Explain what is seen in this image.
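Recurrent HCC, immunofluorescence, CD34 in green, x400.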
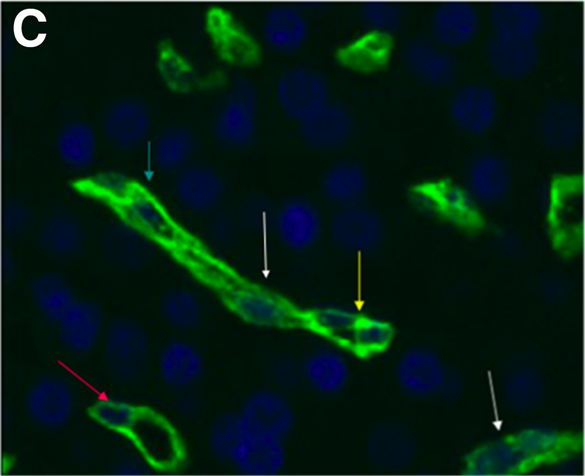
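The green outlines form narrow elongated channels and small ring-shaped profiles scattered across the field. The surrounding tumor cells show only faint, round blue nuclei arranged in sheets without green staining.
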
